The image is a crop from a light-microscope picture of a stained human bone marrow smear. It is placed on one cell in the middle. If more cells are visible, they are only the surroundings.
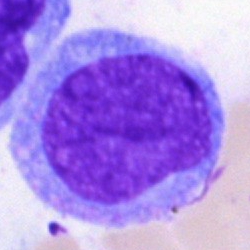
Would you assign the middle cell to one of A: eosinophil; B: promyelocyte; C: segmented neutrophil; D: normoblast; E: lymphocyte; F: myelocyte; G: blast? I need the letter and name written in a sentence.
The cell at the centre, correctly named in option G, is a blast.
